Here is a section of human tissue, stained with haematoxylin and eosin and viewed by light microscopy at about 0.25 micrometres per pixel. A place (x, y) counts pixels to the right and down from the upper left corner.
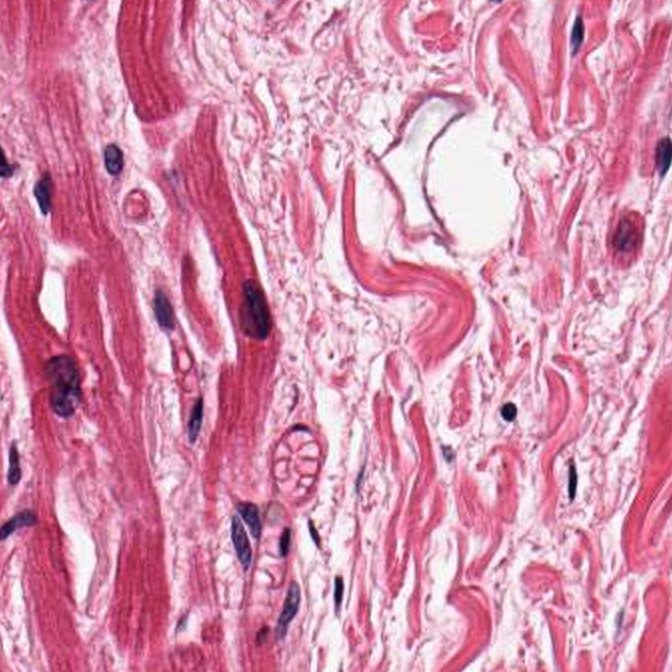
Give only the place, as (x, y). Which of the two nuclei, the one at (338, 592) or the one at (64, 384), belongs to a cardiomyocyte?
(64, 384)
